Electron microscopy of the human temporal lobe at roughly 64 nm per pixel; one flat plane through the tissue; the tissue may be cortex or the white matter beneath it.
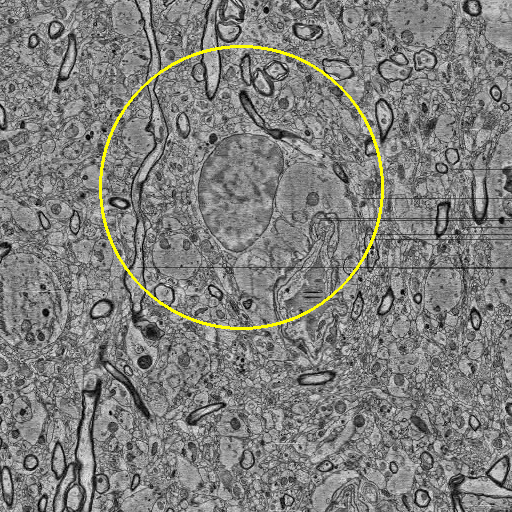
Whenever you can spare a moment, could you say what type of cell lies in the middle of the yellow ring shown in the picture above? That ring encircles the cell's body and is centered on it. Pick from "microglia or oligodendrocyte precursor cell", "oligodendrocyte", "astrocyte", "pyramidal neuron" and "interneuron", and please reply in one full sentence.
The cell whose body sits at the middle of the yellow ring is a microglial cell or oligodendrocyte precursor cell.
